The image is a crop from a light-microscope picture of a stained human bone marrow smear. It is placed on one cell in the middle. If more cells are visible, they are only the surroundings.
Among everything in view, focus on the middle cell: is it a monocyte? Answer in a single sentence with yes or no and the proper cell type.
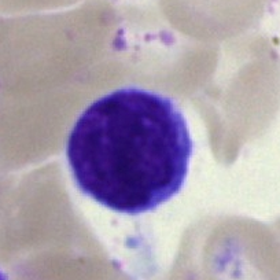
No, not a monocyte: the cell in the middle of this crop is a lymphocyte.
